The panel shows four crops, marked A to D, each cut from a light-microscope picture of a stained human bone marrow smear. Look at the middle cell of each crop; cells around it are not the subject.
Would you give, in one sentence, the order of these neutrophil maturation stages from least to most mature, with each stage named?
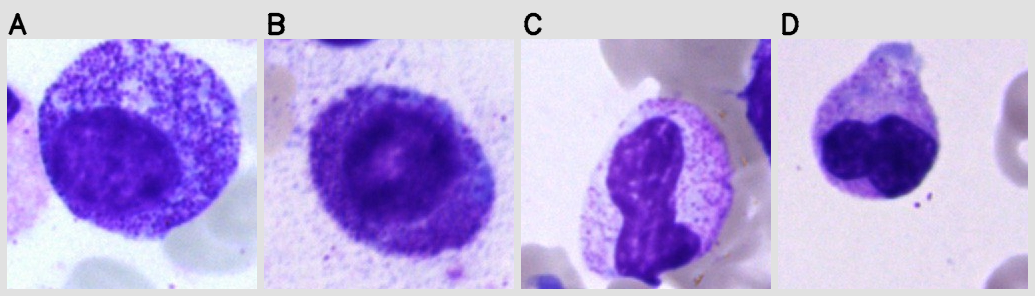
Taken from least to most mature, the sequence is crop B (a promyelocyte), crop A (a myelocyte), crop D (a metamyelocyte) and crop C (a band neutrophil).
